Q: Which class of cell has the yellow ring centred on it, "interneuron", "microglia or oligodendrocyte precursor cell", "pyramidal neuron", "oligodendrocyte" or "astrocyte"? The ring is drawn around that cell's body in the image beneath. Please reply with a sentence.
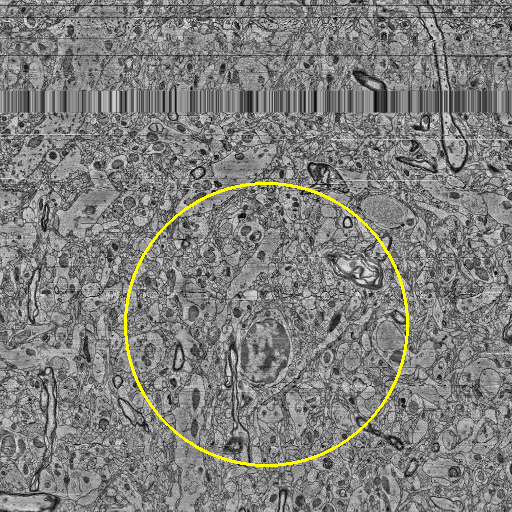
It is centred on a microglial cell or oligodendrocyte precursor cell.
